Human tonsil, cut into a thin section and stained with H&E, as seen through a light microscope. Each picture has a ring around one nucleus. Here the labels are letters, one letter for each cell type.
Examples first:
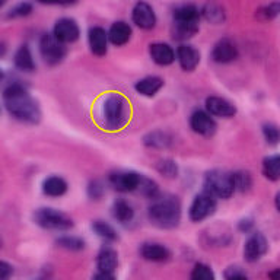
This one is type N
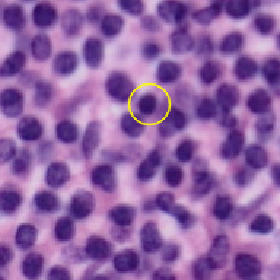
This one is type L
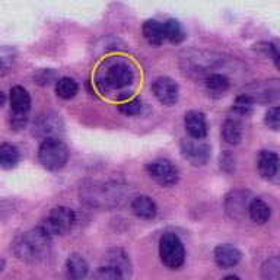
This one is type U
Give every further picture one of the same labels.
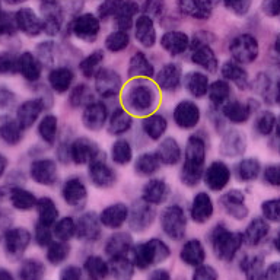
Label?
type L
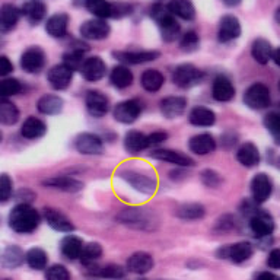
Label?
type N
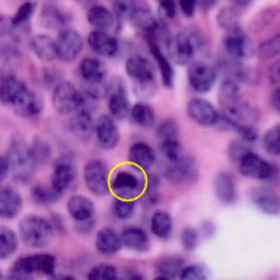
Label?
type L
